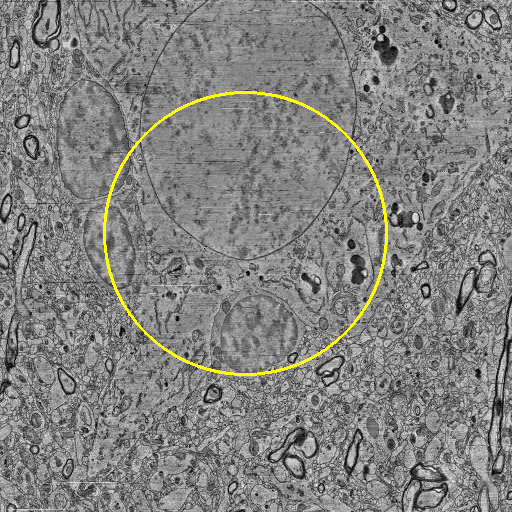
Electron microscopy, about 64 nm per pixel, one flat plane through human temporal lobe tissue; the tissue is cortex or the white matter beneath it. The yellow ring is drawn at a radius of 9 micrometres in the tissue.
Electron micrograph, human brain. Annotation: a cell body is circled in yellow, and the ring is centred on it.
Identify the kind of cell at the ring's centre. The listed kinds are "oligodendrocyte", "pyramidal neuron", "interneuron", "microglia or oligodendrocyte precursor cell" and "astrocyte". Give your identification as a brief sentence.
The circled cell body is that of a pyramidal neuron.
